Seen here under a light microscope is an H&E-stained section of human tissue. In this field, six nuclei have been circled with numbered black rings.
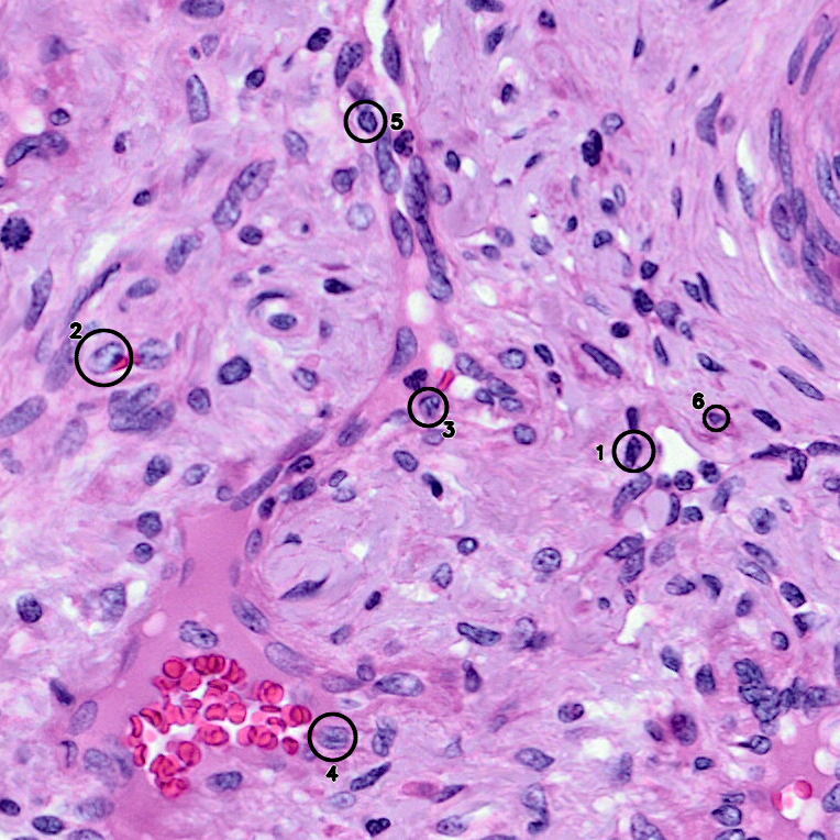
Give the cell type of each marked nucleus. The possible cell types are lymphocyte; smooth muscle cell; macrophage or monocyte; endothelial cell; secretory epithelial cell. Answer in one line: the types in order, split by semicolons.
lymphocyte; endothelial cell; endothelial cell; endothelial cell; lymphocyte; smooth muscle cell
